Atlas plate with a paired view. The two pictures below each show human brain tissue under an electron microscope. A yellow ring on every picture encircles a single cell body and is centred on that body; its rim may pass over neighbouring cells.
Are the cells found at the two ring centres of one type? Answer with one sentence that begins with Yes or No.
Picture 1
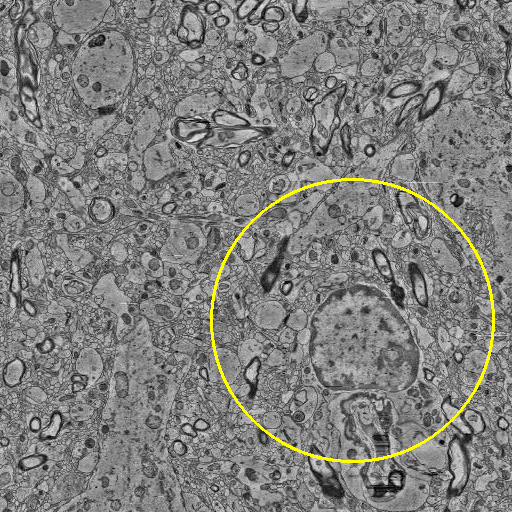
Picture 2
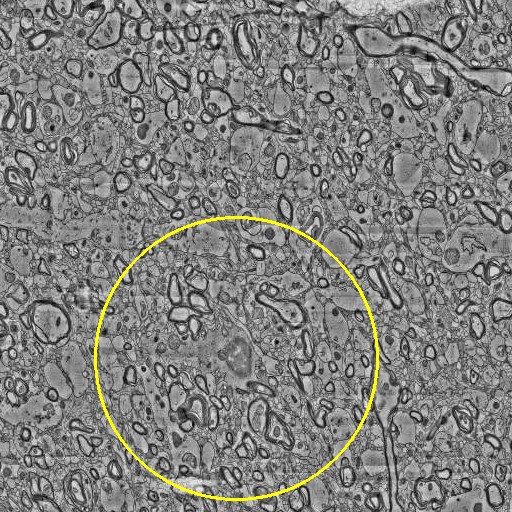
No, the two cells lying at the centres of the rings are of two types.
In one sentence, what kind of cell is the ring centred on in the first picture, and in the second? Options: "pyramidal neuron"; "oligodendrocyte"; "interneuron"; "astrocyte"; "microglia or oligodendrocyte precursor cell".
The cell at the centre of the second ring is an oligodendrocyte; the first ring's cell is a microglial cell or oligodendrocyte precursor cell.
